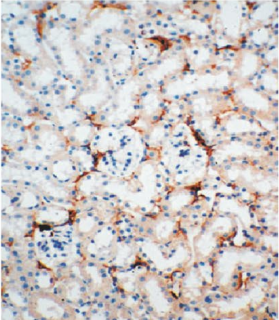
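This section of kidney shows glomeruli lying among densely packed tubules cut in cross and longitudinal section. The tubules are lined by a single layer of cuboidal epithelial cells with round blue nuclei and pale brownish cytoplasm around clear lumens. Dark brown stain forms irregular, elongated patches in the narrow interstitial spaces between tubules and near the glomeruli.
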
